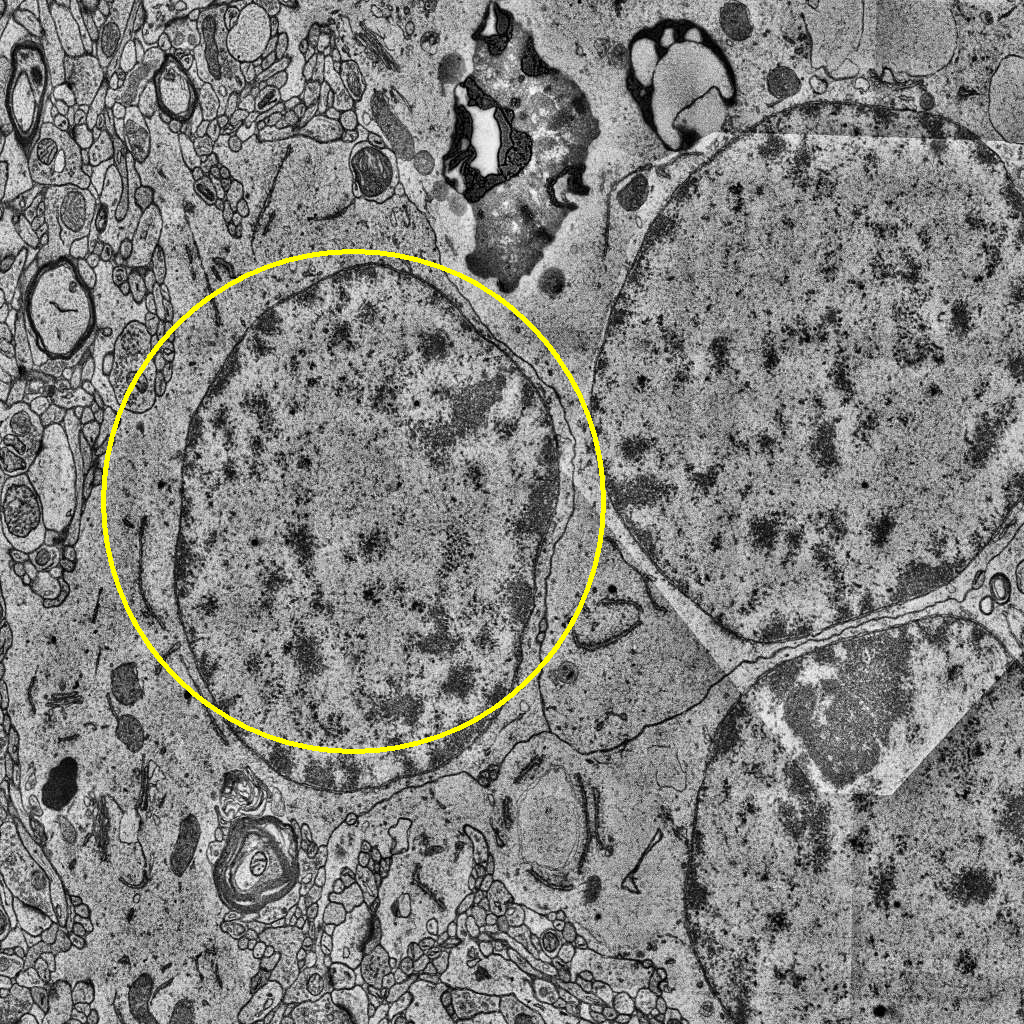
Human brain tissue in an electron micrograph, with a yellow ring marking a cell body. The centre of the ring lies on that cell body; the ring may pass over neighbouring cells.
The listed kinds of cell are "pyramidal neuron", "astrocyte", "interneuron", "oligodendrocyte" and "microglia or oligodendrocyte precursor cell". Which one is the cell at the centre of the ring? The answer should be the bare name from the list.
astrocyte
